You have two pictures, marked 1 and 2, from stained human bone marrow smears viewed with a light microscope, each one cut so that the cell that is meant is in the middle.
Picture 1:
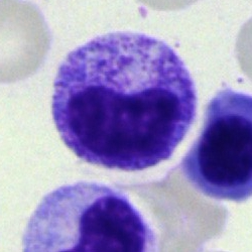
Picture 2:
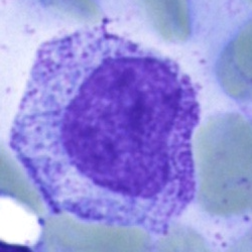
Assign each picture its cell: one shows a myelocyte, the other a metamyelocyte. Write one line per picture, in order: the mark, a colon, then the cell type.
1: metamyelocyte
2: myelocyte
